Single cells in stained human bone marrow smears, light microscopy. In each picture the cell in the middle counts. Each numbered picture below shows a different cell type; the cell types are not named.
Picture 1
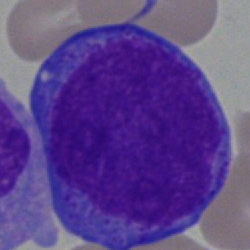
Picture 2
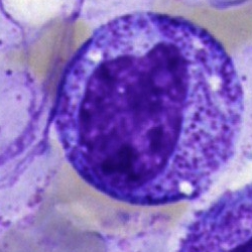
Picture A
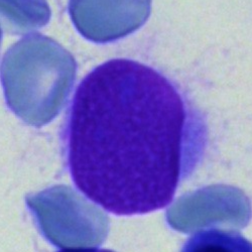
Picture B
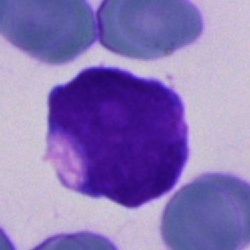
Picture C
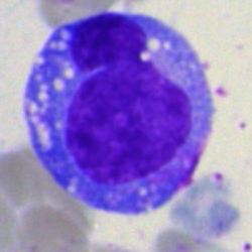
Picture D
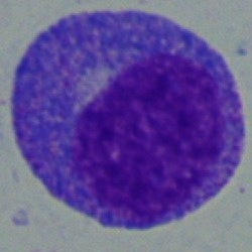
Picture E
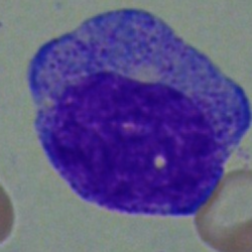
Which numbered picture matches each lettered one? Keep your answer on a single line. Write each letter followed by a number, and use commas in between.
A 1, B 1, C 1, D 2, E 2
